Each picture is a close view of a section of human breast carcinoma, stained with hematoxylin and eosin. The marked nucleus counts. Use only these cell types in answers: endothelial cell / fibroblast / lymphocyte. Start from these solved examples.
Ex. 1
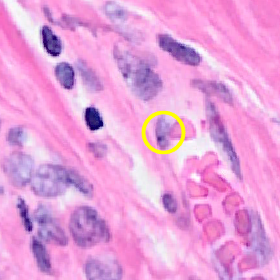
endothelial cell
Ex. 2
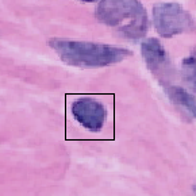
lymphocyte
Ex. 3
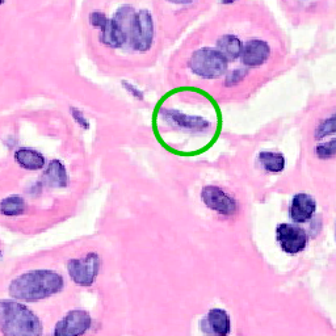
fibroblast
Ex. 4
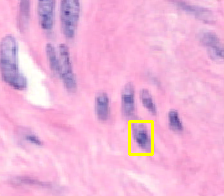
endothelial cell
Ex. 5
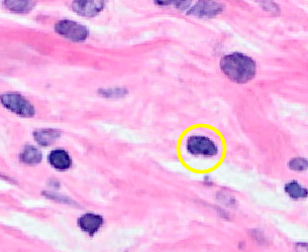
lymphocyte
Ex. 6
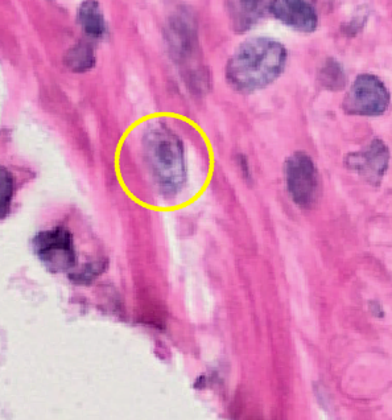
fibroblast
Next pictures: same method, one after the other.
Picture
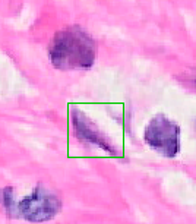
fibroblast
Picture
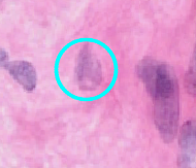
fibroblast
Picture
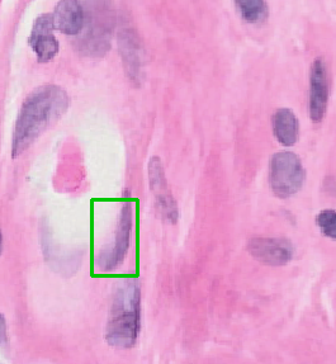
endothelial cell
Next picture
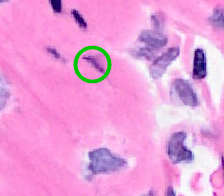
fibroblast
